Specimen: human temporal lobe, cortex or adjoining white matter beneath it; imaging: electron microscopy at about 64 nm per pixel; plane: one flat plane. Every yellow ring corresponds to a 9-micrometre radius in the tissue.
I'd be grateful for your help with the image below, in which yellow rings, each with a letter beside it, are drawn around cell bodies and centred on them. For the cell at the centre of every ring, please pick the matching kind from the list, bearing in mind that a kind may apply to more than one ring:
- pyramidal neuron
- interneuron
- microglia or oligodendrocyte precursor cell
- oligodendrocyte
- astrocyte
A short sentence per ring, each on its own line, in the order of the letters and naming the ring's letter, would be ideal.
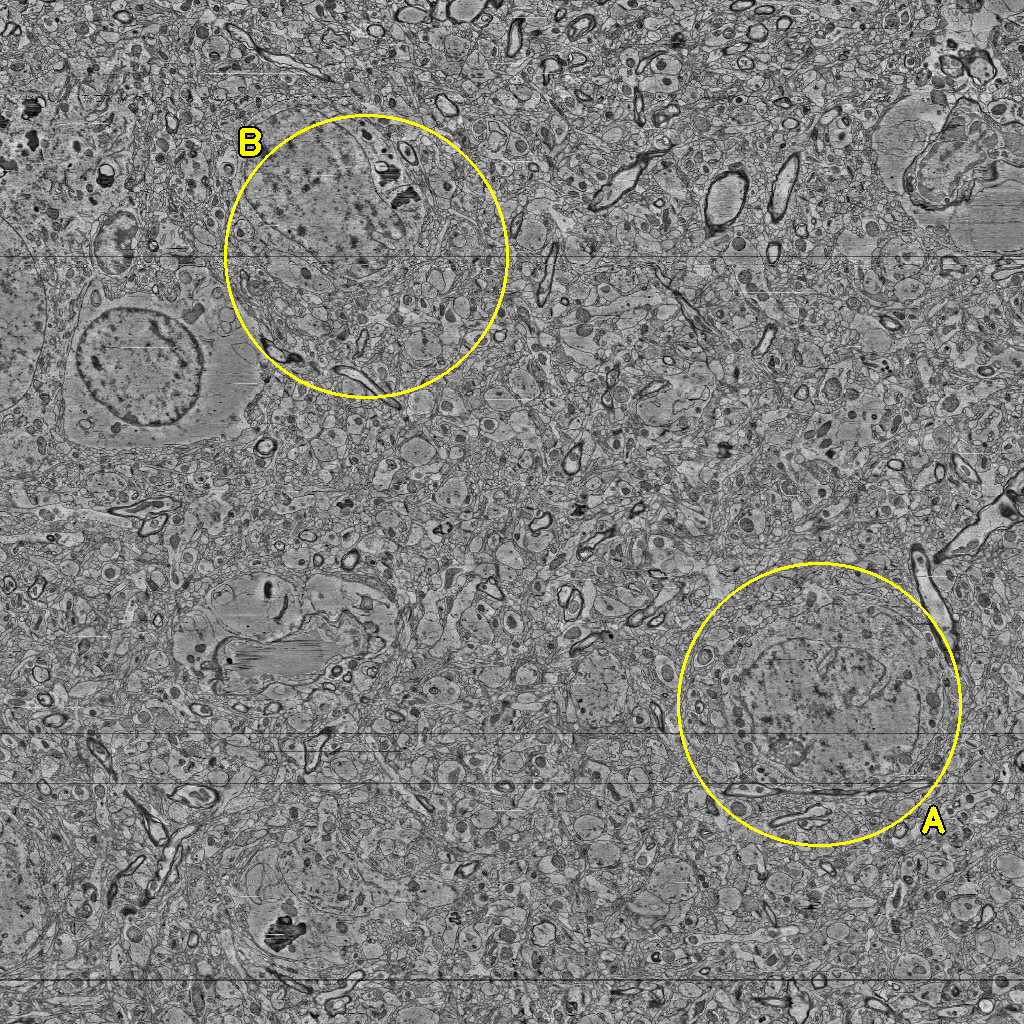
Inside ring A, the central cell is an interneuron.
Inside ring B, the central cell is an interneuron.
